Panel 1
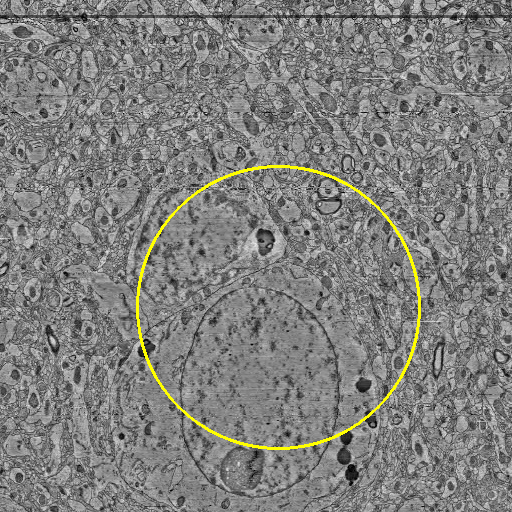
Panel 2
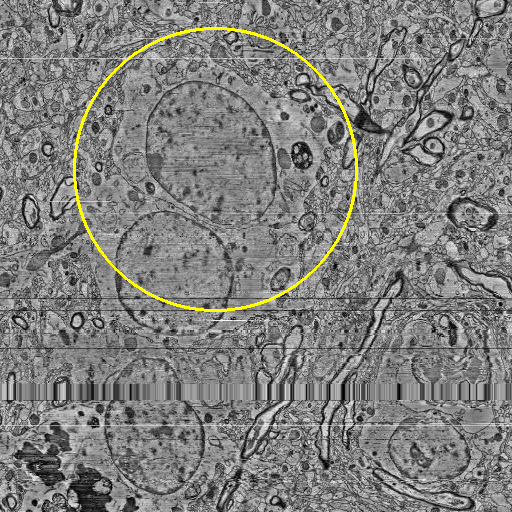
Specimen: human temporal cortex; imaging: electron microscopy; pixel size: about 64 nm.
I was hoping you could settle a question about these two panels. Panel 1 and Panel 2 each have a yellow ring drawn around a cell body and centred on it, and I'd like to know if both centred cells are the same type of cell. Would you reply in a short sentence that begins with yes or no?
No, they are two types of cell.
